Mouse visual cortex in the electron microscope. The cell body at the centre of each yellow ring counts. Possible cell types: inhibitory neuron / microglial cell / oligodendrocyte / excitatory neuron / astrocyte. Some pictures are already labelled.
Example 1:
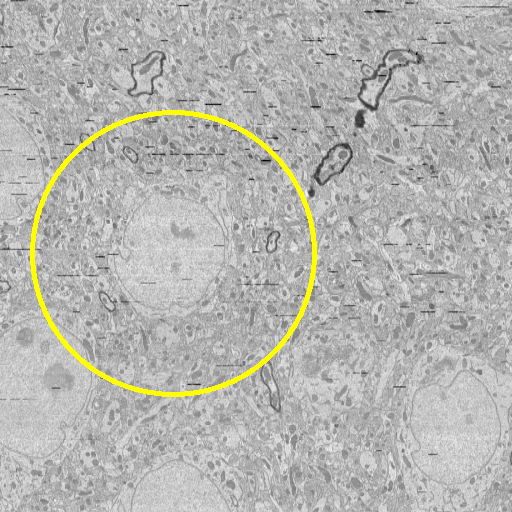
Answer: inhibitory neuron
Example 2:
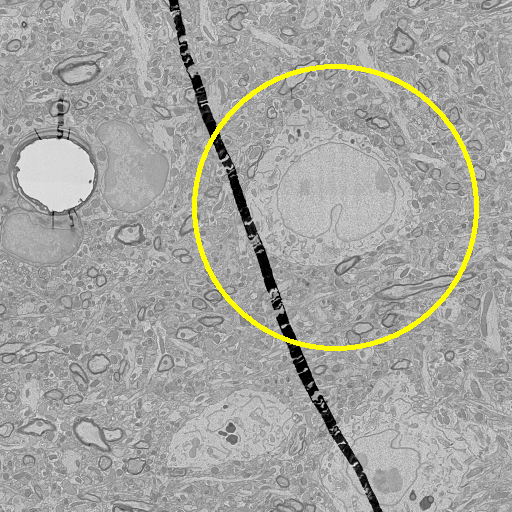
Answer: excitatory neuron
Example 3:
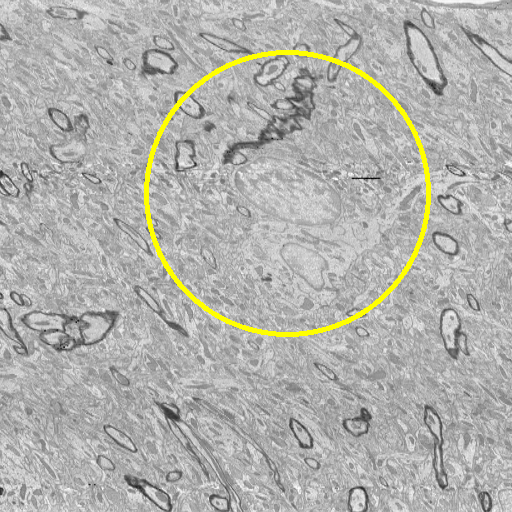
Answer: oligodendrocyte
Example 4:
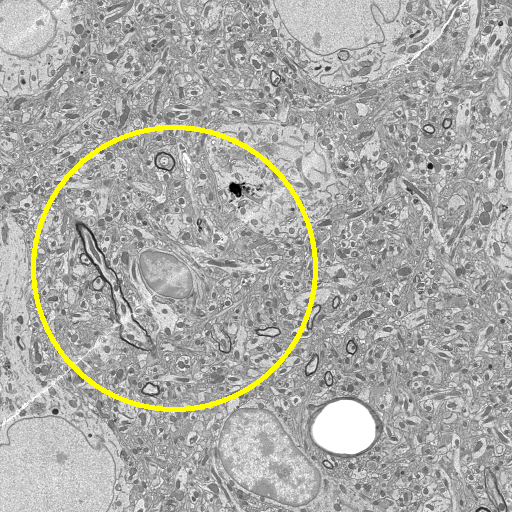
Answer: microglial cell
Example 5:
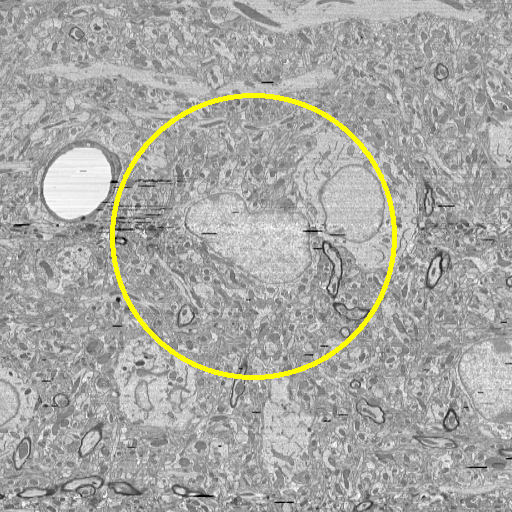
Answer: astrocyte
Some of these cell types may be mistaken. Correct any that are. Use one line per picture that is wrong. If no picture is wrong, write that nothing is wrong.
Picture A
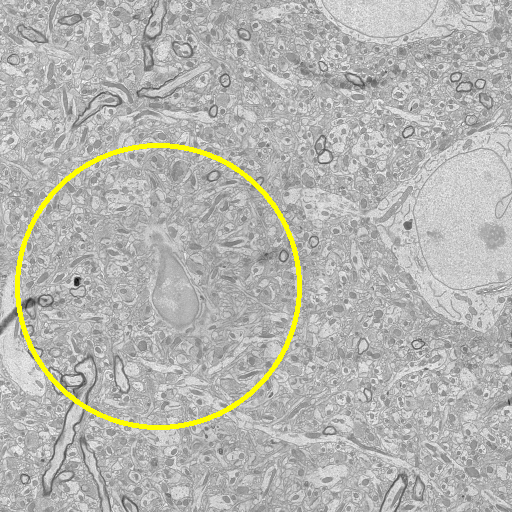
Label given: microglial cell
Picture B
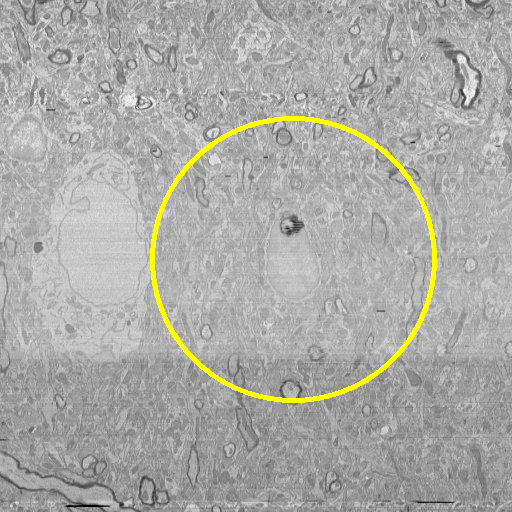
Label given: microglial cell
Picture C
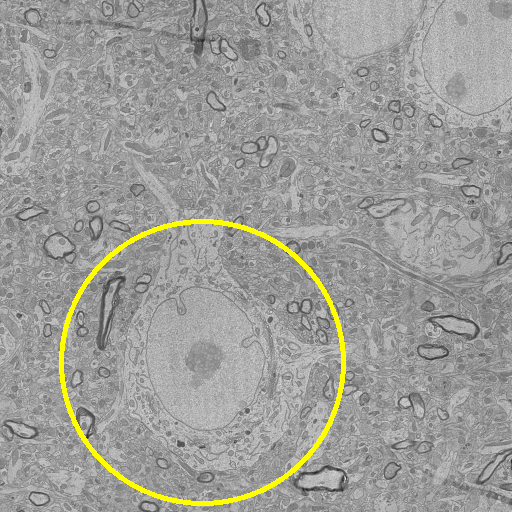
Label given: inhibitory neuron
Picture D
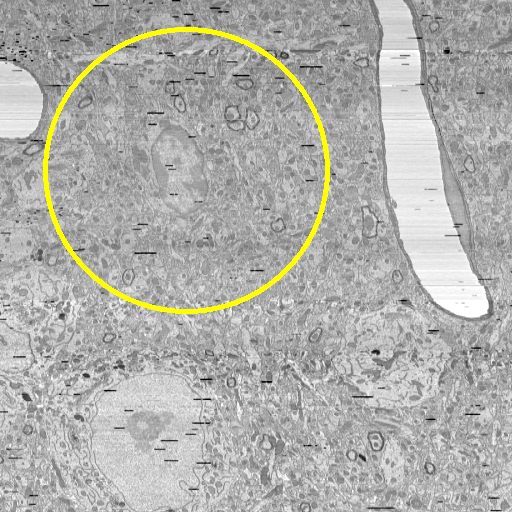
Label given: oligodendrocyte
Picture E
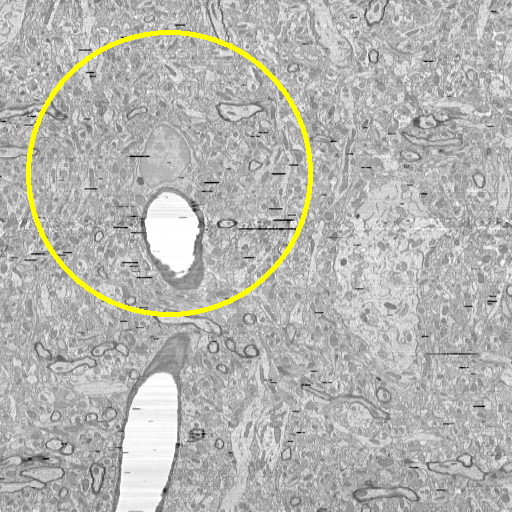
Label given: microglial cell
All correct.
